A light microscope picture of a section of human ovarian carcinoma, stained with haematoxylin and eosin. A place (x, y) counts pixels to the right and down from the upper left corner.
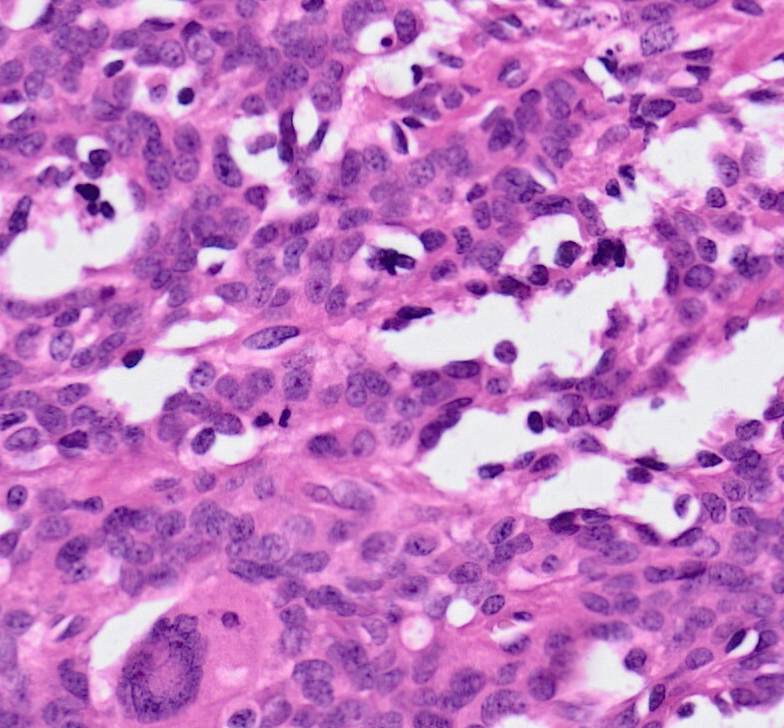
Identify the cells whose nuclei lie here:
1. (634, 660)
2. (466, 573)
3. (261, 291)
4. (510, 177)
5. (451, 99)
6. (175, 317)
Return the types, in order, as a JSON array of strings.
["macrophage or monocyte", "carcinoma cell", "carcinoma cell", "carcinoma cell", "macrophage or monocyte", "carcinoma cell"]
